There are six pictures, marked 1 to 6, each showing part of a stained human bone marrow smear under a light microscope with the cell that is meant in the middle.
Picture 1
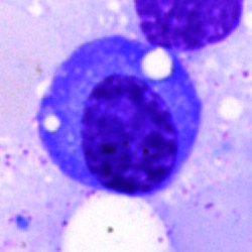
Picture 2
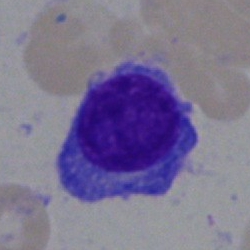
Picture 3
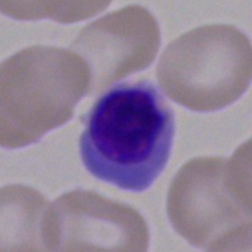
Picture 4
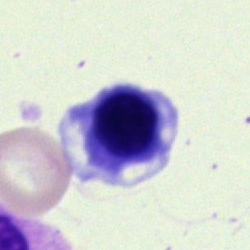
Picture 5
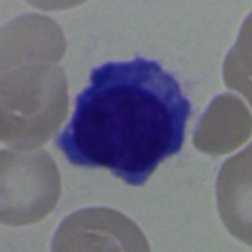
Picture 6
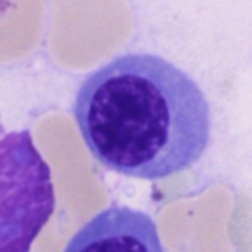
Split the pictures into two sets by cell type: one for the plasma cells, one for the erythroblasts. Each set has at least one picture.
1: plasma cell
2: plasma cell
3: erythroblast
4: erythroblast
5: plasma cell
6: erythroblast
